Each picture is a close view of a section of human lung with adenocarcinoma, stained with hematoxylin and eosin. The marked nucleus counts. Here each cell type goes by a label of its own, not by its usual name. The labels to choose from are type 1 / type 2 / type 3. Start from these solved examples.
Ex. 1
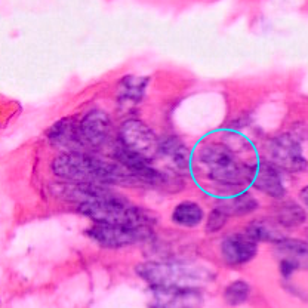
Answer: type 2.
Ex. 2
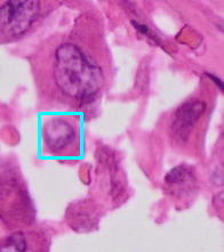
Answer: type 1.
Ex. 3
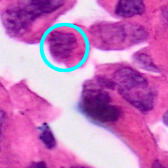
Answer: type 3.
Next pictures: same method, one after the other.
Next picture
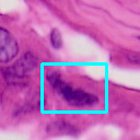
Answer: type 3.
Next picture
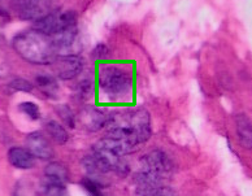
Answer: type 2.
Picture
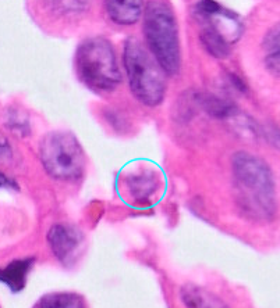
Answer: type 1.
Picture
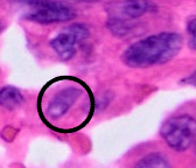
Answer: type 1.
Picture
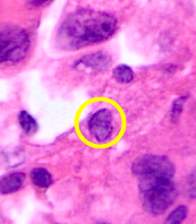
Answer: type 1.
